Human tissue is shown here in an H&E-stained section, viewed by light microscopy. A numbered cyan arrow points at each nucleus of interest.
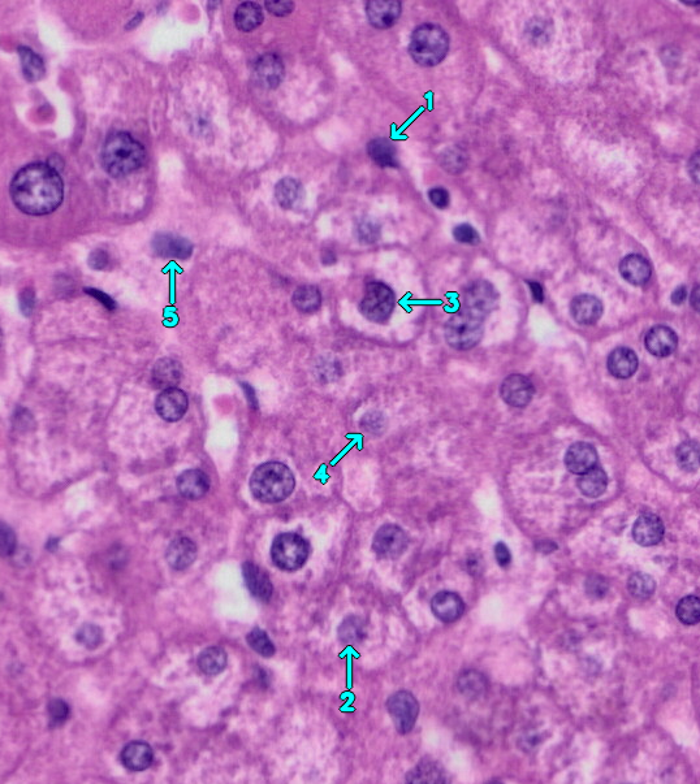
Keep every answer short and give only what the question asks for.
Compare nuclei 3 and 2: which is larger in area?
3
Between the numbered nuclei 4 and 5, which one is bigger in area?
5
